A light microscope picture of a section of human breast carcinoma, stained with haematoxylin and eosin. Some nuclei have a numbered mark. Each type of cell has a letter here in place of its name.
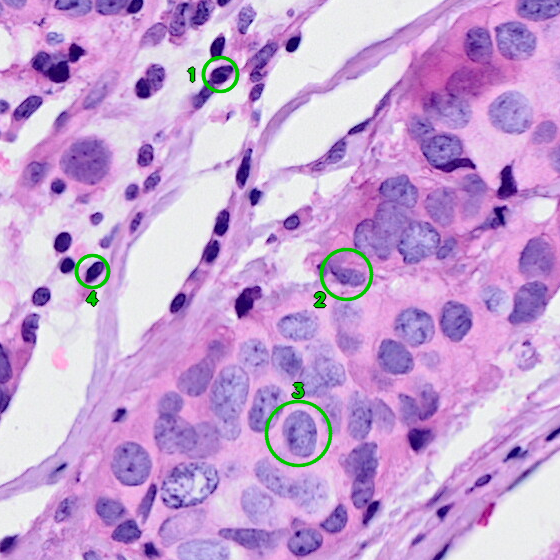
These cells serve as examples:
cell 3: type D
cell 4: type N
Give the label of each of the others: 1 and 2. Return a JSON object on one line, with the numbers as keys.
{"1": "type N", "2": "type D"}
